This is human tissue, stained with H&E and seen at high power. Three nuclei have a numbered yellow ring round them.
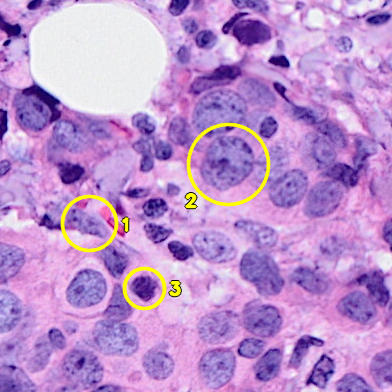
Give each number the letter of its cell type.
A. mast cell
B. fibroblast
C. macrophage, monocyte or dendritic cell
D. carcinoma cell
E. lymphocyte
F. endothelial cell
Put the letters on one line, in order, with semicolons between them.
F; D; D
